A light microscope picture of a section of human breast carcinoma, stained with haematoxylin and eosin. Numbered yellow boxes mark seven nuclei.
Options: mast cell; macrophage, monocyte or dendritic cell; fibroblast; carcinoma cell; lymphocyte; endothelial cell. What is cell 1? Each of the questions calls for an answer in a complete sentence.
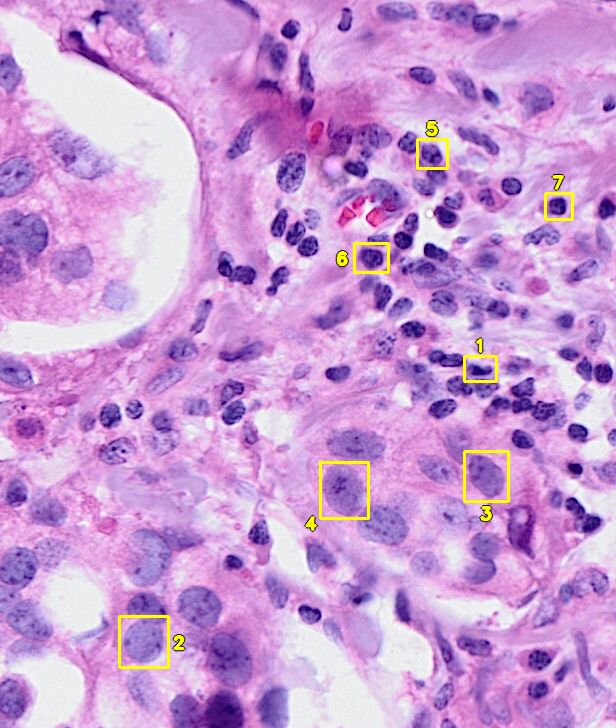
The cell with the number 1 is a lymphocyte.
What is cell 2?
It is as a carcinoma cell that the cell numbered 2 is identified.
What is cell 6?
Number 6 is placed on a lymphocyte here.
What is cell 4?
In this section, the cell numbered 4 is a carcinoma cell.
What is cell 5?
That cell with number 5 is a lymphocyte.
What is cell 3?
Cell 3, as marked in the section, is a carcinoma cell.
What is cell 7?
Identified as a lymphocyte is the cell bearing the number 7.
